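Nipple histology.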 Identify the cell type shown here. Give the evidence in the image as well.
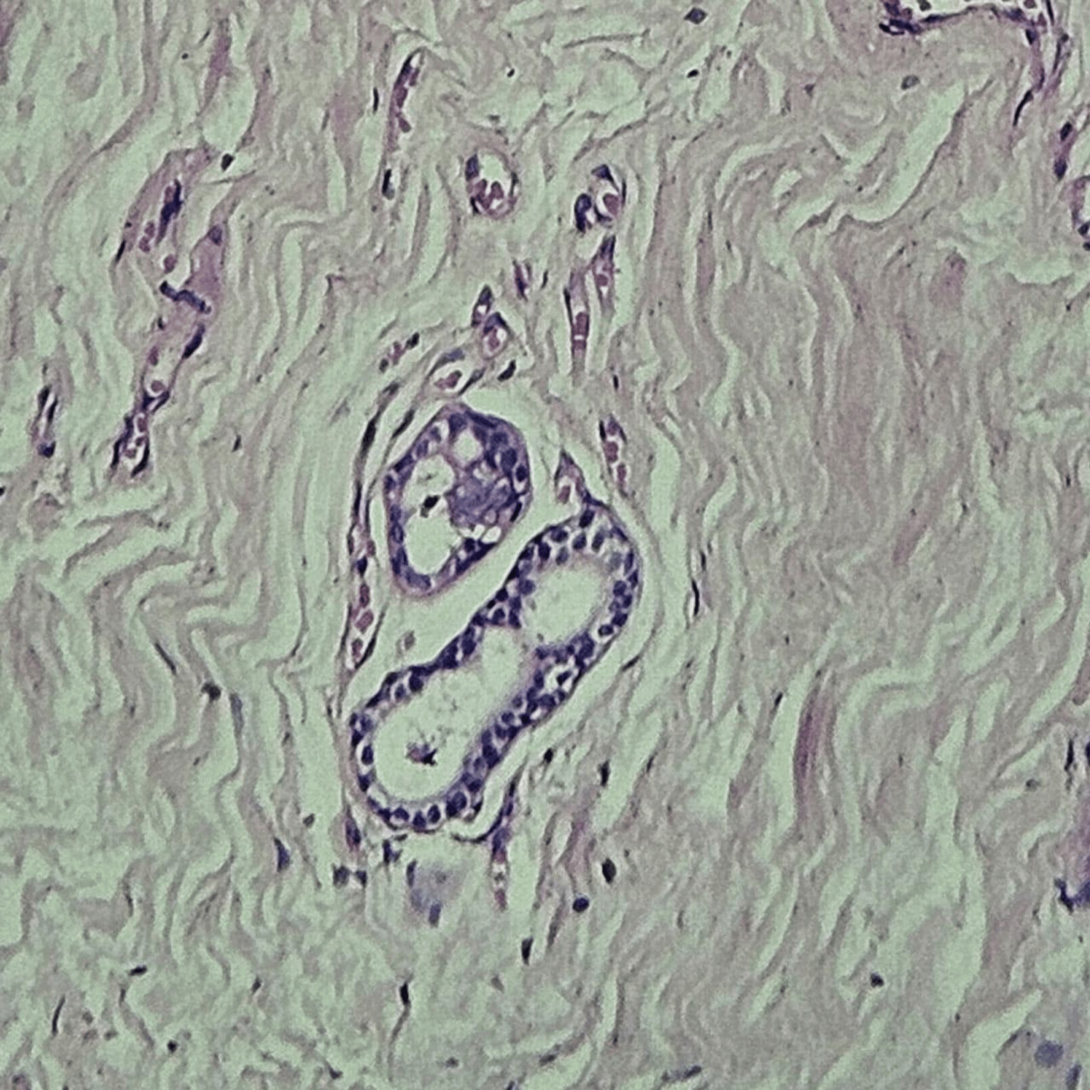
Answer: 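Benign ductal epithelial cells. Two small ducts sit side by side in the middle of the field. The ducts are lined by a layer of small cuboidal cells with dark round nuclei. The ducts are surrounded by dense wavy fibrous stroma.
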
